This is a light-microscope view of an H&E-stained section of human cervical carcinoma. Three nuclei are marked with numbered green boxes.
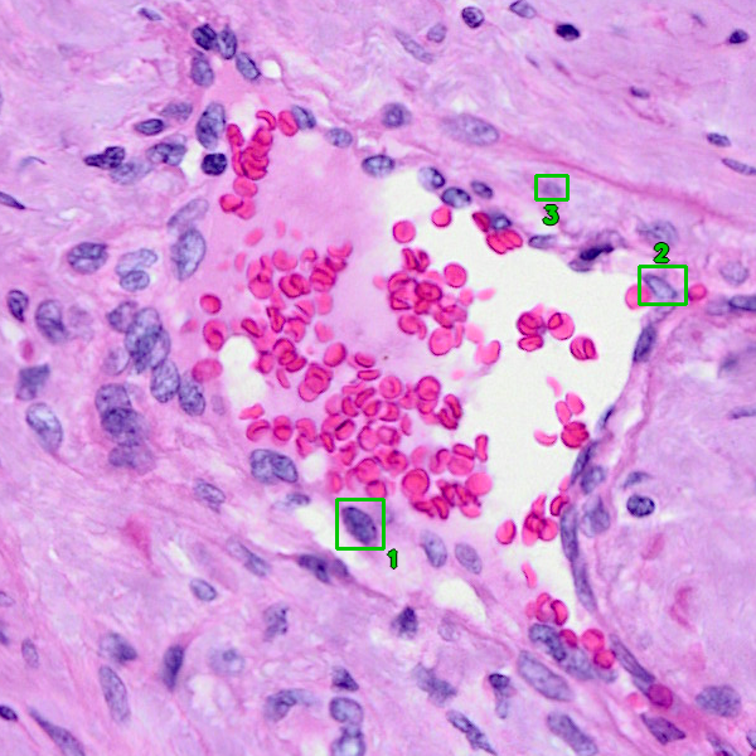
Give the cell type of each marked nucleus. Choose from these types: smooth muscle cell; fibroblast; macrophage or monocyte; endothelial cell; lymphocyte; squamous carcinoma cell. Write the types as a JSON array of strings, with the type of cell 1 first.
["endothelial cell", "endothelial cell", "smooth muscle cell"]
